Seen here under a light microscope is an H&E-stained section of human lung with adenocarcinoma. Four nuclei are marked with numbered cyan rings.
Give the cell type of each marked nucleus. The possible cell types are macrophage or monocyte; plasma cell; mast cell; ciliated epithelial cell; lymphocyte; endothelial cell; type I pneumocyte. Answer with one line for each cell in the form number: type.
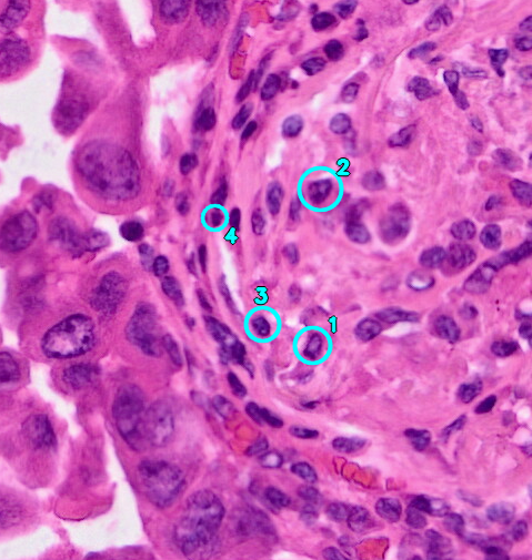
1: plasma cell
2: plasma cell
3: lymphocyte
4: plasma cell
